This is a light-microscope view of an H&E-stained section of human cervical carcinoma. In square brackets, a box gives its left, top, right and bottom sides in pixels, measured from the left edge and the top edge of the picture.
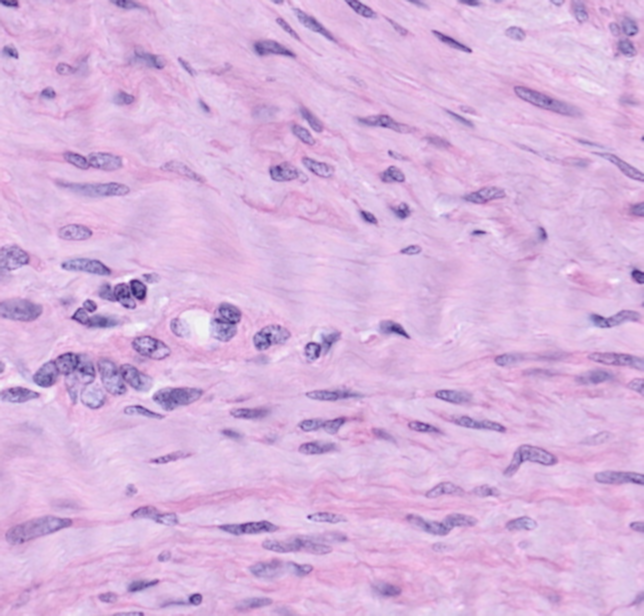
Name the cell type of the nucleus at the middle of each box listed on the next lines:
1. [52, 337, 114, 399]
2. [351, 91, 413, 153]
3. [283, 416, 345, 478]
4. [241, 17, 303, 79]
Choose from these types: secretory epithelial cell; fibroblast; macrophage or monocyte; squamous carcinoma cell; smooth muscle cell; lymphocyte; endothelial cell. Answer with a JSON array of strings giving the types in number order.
["endothelial cell", "smooth muscle cell", "smooth muscle cell", "smooth muscle cell"]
